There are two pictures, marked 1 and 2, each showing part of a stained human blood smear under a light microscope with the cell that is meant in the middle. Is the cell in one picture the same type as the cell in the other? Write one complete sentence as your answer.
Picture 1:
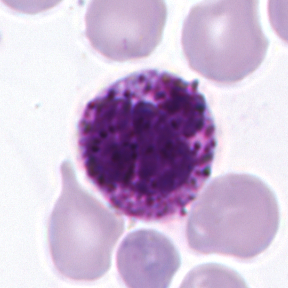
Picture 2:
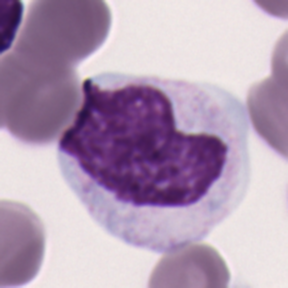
No, picture 1 shows a basophil and picture 2 shows a metamyelocyte.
